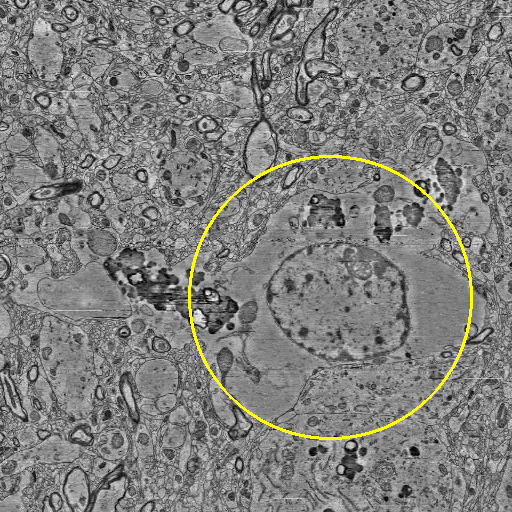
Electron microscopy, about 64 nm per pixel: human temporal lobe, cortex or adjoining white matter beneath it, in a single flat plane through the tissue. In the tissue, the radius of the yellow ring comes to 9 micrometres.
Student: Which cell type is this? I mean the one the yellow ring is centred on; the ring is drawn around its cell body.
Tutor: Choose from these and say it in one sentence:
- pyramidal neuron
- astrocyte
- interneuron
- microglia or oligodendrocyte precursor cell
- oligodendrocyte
The cell the ring is centred on is an astrocyte.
